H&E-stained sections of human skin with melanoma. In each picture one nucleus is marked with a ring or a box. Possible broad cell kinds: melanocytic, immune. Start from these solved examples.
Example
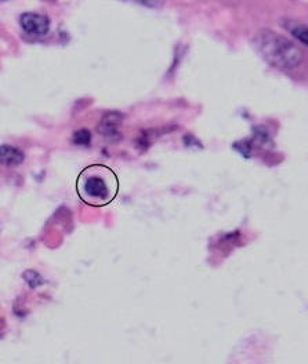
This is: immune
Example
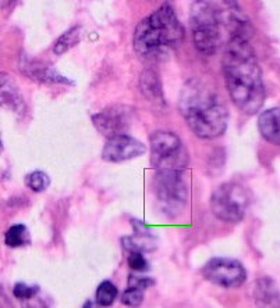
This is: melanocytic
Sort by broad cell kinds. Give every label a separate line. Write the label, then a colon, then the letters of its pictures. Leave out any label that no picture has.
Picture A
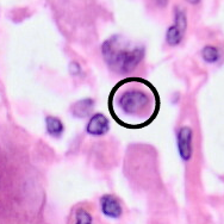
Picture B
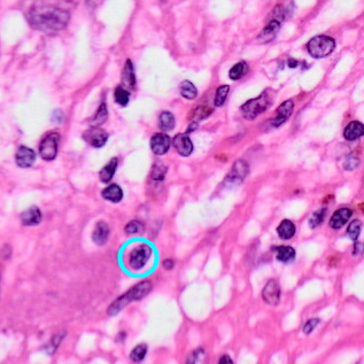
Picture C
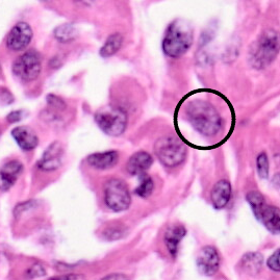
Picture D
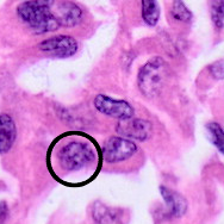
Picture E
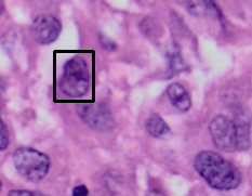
melanocytic: C, D, E
immune: A, B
